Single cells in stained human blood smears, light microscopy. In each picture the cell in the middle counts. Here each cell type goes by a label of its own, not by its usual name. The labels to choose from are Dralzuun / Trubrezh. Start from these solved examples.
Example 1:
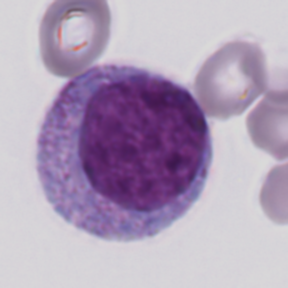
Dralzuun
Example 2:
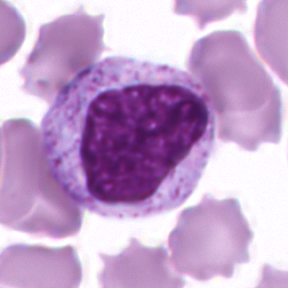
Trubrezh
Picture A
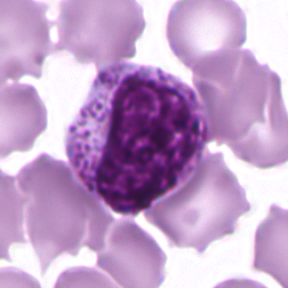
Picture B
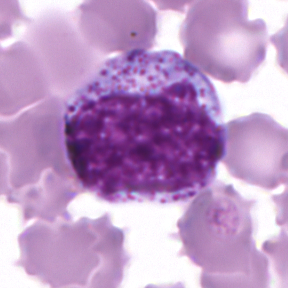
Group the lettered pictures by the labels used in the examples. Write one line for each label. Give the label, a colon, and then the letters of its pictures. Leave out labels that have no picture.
Trubrezh: A, B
